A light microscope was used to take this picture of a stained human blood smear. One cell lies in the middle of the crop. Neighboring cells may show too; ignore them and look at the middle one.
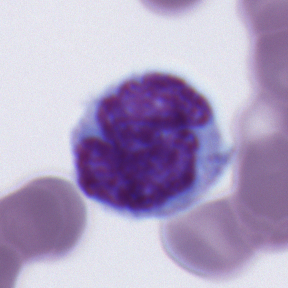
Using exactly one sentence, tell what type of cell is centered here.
Regarding the central cell, it is a monocyte.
